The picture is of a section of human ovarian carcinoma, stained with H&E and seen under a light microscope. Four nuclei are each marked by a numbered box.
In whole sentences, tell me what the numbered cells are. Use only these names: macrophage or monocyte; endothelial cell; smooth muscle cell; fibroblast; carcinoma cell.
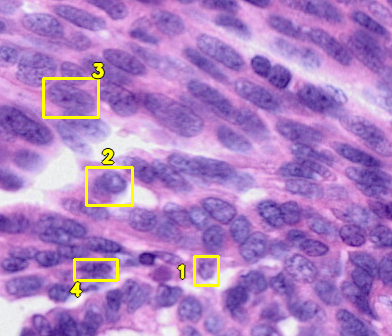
Cell 1 is a macrophage or monocyte. Cells 2, 3 and 4 are carcinoma cells.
